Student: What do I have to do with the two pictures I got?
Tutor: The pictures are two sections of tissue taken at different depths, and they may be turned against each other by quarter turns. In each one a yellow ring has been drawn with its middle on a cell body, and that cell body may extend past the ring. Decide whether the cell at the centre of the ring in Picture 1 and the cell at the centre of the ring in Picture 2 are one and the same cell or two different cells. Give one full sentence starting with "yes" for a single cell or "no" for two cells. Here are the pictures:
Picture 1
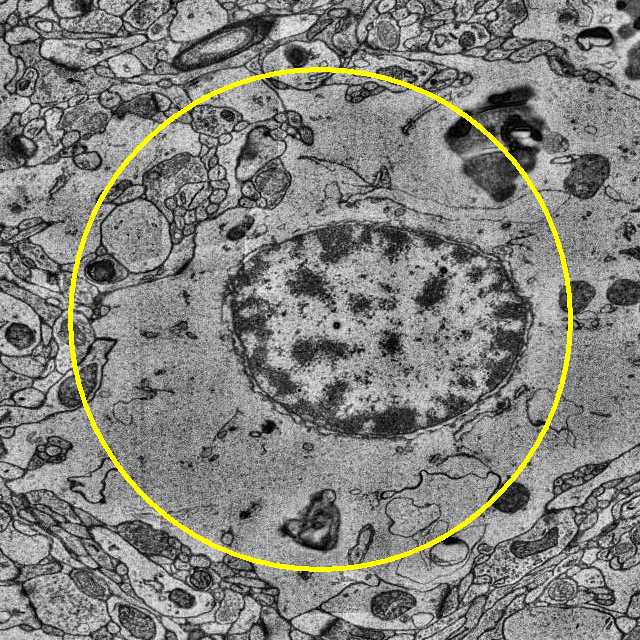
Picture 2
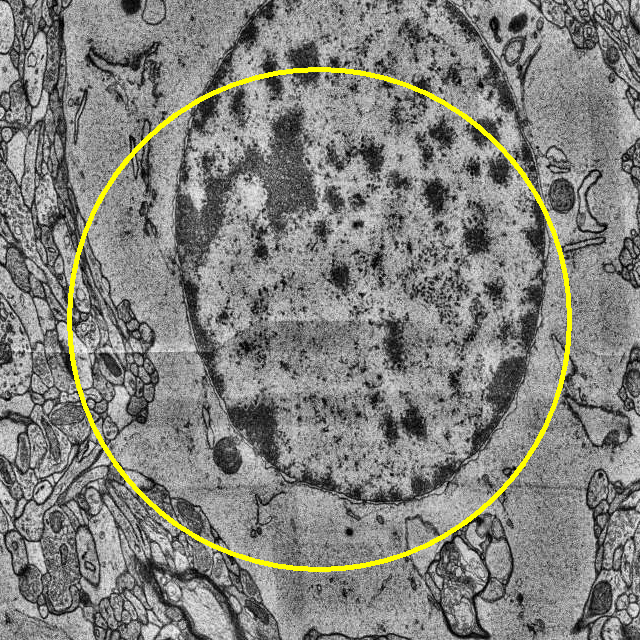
Yes, the two rings mark one cell and not separate cells.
